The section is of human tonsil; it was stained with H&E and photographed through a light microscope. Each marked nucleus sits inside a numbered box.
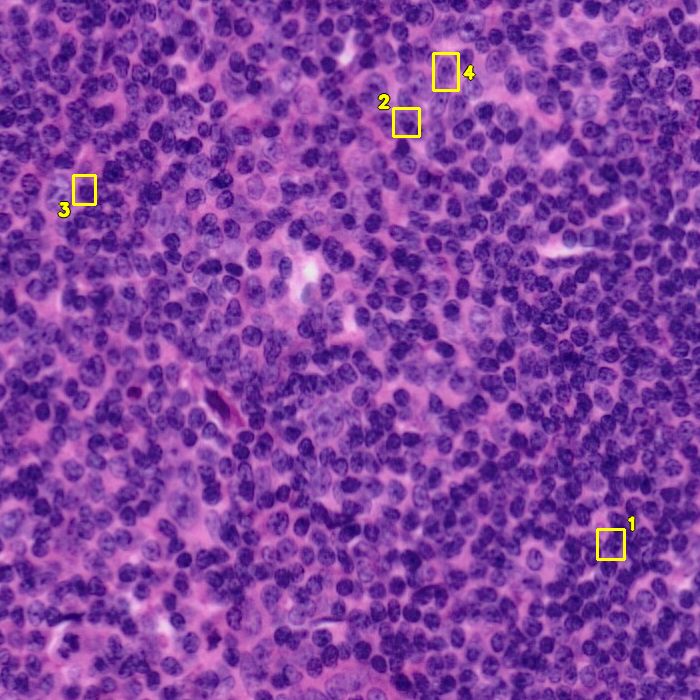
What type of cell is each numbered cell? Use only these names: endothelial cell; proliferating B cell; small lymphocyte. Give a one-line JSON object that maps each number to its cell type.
{"1": "small lymphocyte", "2": "small lymphocyte", "3": "small lymphocyte", "4": "proliferating B cell"}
